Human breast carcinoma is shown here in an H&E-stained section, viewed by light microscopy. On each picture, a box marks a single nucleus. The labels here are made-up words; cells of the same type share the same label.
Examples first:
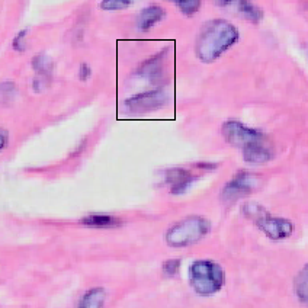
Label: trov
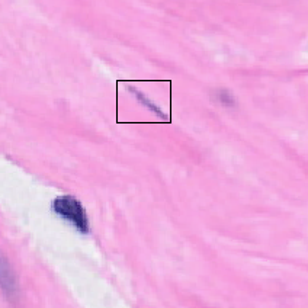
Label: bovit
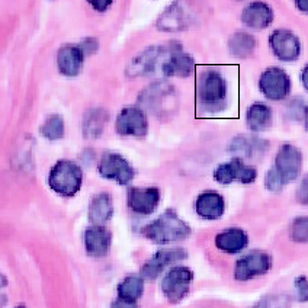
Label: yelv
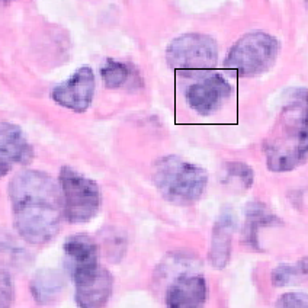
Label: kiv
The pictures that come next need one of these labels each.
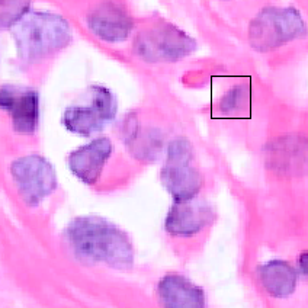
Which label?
trov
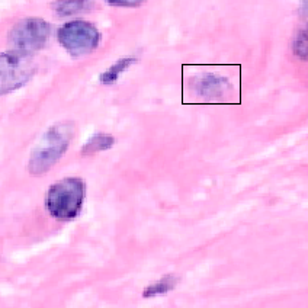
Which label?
bovit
